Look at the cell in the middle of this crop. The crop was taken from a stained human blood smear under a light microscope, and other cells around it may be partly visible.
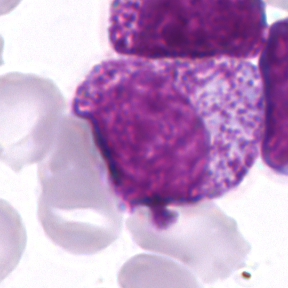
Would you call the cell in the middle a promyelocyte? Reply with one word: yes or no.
no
